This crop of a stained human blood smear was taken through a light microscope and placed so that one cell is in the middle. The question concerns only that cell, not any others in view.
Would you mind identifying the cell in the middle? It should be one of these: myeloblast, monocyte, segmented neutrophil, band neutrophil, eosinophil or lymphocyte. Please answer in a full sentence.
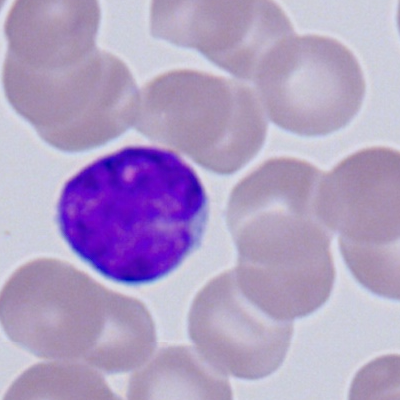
Framed in the middle of the crop is a lymphocyte.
